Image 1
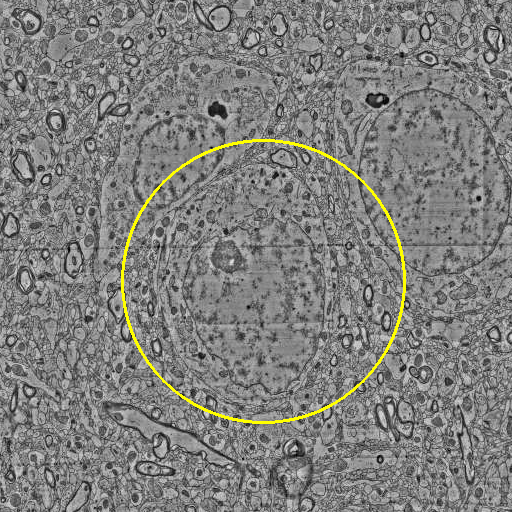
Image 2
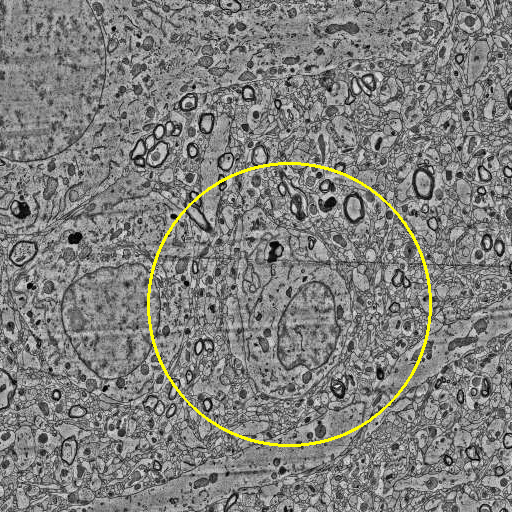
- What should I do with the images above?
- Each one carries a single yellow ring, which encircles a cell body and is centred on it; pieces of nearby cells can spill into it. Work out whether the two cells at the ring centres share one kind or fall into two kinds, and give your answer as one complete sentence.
The ring-centre cells of Image 1 and Image 2 share one kind.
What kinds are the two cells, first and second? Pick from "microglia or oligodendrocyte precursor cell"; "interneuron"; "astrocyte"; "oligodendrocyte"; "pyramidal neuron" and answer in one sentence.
Both pictures show a pyramidal neuron at the centre of the ring.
